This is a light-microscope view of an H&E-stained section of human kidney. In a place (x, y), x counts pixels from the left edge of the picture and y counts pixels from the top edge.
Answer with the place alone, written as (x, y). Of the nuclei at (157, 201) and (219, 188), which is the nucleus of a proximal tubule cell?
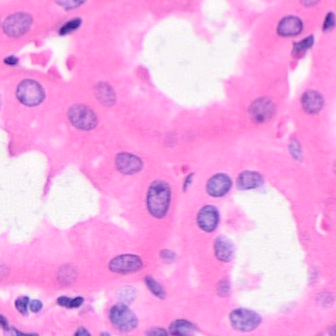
(157, 201)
